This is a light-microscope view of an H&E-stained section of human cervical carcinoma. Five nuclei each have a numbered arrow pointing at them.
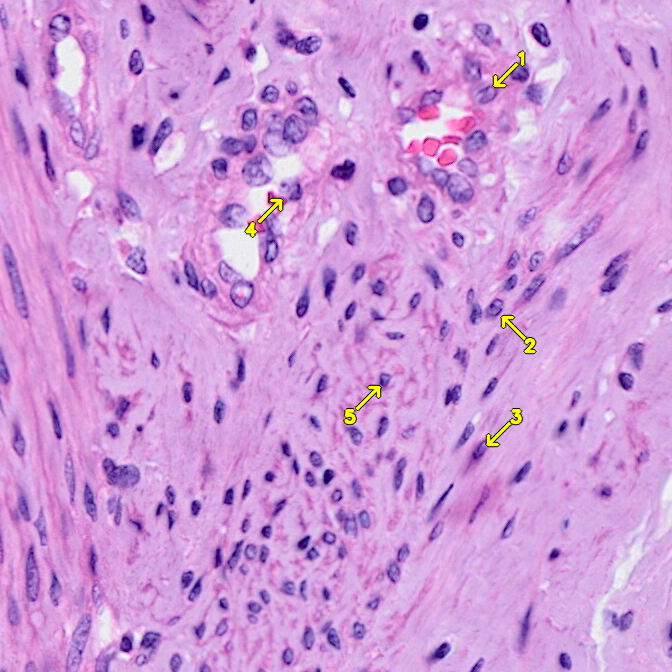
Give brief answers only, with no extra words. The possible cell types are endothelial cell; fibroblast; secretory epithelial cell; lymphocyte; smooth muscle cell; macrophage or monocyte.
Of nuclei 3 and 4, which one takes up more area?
4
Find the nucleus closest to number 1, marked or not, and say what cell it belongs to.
endothelial cell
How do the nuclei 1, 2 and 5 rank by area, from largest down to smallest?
1, 2, 5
